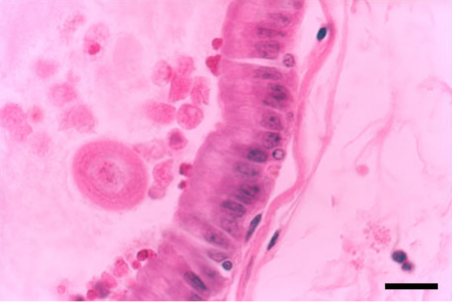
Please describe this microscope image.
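This view shows the epithelium lining a prostatic alveolus, made of a single row of tall columnar cells. The cells stand tightly side by side with pink cytoplasm and oval nuclei, many with a visible nucleolus. On one side lies the lumen, containing pink material, scattered small rounded cells and a round body with concentric layers. On the other side lies loose connective tissue with thin fibres and a few flattened, elongated dark nuclei.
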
